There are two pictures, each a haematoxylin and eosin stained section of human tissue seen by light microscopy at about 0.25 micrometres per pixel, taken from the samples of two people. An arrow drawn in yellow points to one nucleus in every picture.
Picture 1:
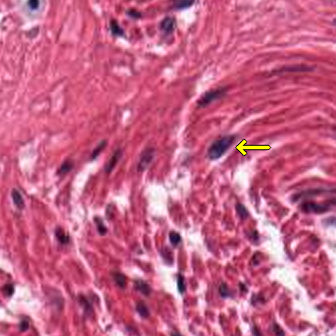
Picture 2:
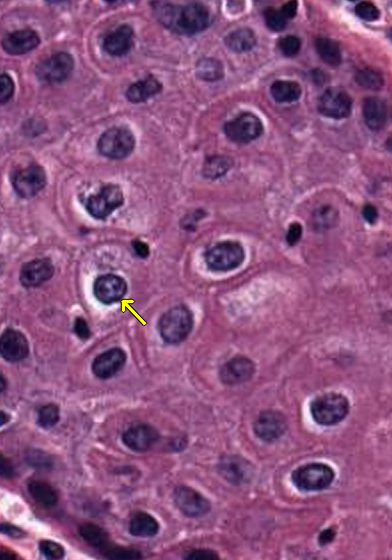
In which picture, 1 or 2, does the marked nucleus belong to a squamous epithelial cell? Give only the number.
2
